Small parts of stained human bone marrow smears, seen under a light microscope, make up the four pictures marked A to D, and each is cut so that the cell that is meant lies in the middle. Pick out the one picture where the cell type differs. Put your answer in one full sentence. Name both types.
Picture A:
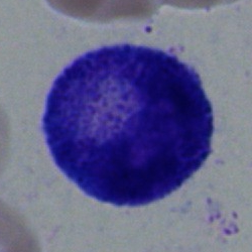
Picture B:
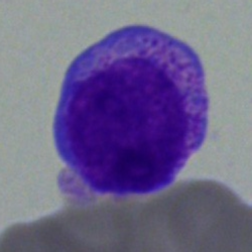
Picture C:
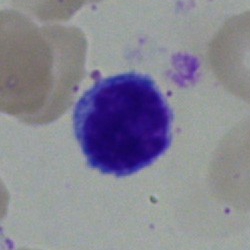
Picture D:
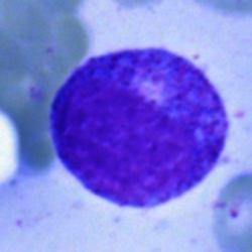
The different one is picture C; it shows a lymphocyte, whereas all the others show promyelocytes.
